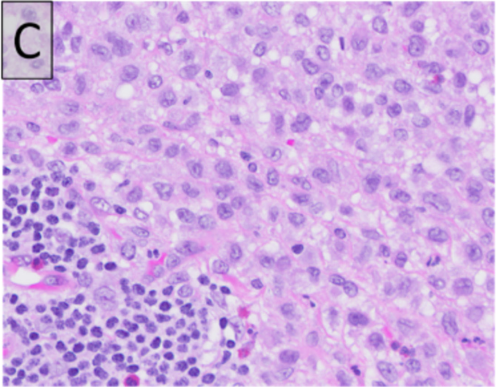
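A sheet of medium-sized cells with pale, amphophilic to lightly pink cytoplasm fills most of the field. Their nuclei are oval to kidney-shaped with fine chromatin, and many show a lengthwise groove or fold. At the lower left lies a tight cluster of small, round, dark lymphocytes, far smaller than the sheet cells. A few red-granulated cells are scattered at the edges.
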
